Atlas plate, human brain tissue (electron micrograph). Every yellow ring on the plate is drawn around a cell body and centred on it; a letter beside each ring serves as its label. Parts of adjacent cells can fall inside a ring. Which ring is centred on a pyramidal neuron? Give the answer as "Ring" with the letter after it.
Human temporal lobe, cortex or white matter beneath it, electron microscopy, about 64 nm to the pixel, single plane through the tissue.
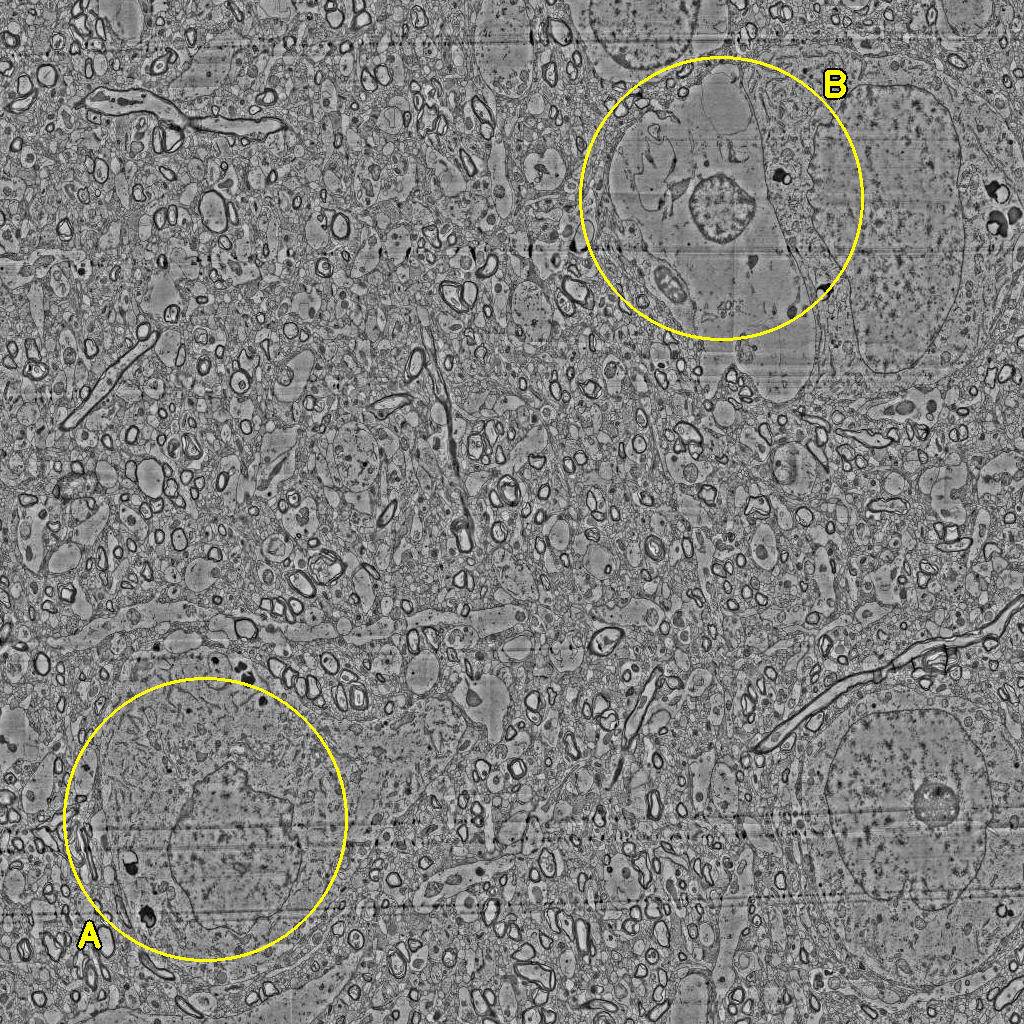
Ring A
